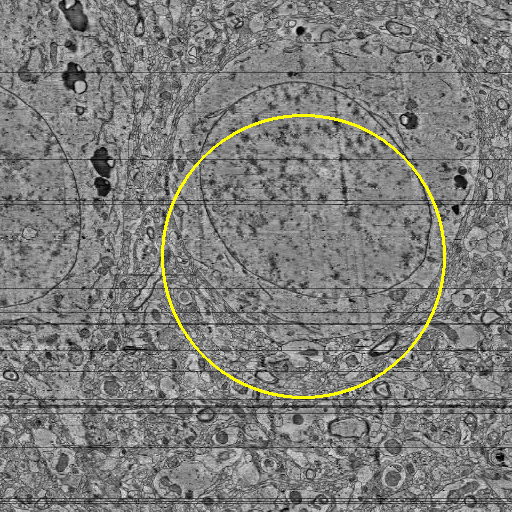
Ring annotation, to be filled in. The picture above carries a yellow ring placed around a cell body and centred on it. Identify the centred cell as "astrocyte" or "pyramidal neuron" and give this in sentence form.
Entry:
The cell in the middle of the ring is a pyramidal neuron.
